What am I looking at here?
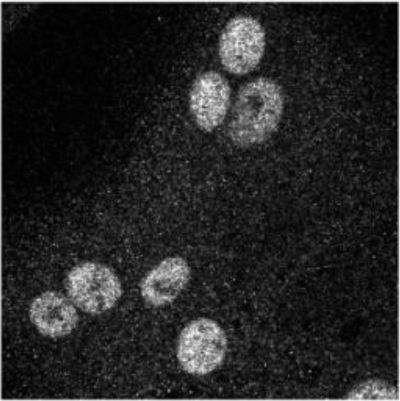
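Several rounded to oval nuclei stand out brightly, three lying close together in a cluster and others spread across the lower part of the field. The label inside the nuclei is finely granular, with small darker spots in some. The cytoplasm around them carries only a faint, evenly speckled label, and no clear cell borders can be seen.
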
